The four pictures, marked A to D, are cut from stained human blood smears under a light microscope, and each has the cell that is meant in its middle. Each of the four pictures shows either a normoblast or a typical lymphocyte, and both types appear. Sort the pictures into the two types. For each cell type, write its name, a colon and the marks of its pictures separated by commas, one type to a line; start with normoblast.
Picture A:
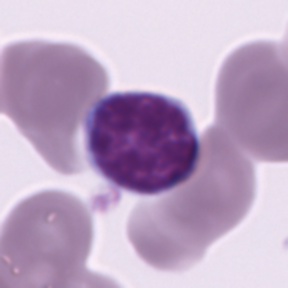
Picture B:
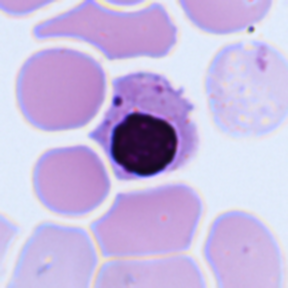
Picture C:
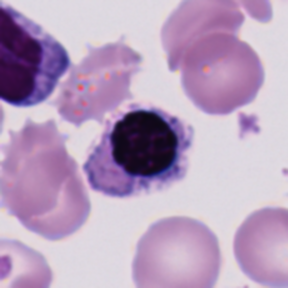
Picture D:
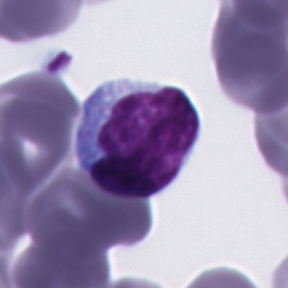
normoblast: B, C
typical lymphocyte: A, D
